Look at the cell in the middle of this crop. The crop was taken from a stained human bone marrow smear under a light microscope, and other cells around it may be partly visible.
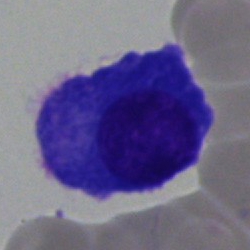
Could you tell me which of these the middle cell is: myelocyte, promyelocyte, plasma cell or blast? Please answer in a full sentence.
To answer, the cell in the center of the crop is a plasma cell.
